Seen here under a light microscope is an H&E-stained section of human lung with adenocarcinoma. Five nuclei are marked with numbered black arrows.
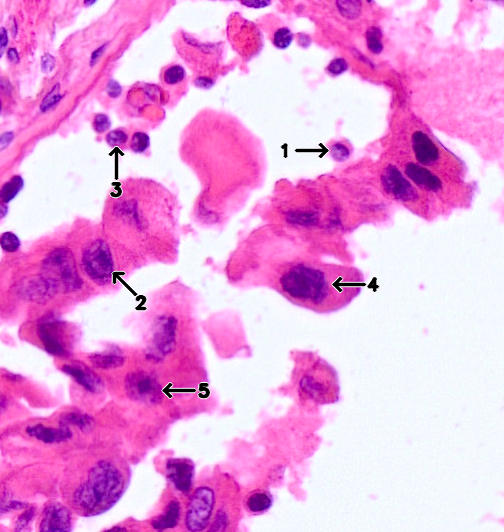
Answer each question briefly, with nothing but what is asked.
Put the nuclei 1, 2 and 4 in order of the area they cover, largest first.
4, 2, 1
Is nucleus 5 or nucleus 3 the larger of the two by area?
5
